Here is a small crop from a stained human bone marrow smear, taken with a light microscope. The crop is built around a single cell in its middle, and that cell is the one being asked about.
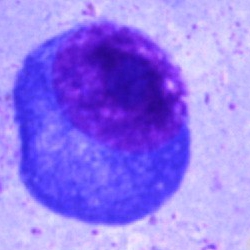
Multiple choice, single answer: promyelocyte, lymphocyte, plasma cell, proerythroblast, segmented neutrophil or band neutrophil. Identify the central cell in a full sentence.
Here the cell in the middle is a plasma cell.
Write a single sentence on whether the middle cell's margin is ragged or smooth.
Happy to help: the outline is smooth and shows no projections.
